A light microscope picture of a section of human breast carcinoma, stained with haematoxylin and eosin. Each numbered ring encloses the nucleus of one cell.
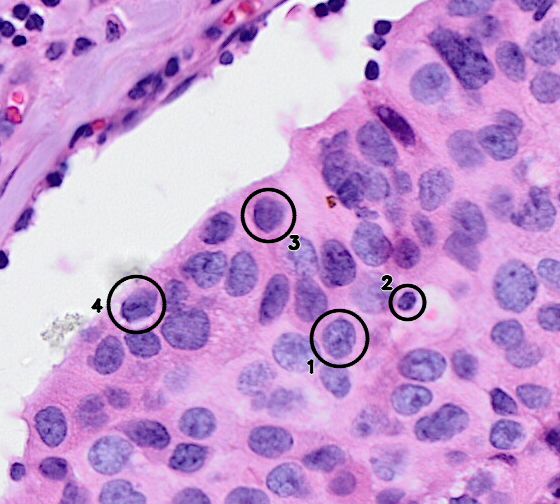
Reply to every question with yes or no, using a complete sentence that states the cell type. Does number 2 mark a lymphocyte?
Yes, it is a lymphocyte that number 2 identifies.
